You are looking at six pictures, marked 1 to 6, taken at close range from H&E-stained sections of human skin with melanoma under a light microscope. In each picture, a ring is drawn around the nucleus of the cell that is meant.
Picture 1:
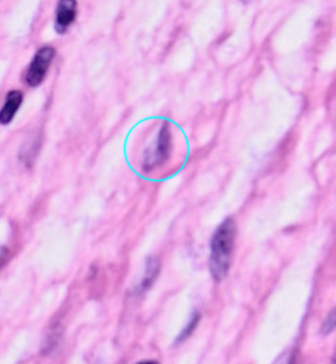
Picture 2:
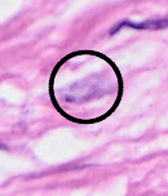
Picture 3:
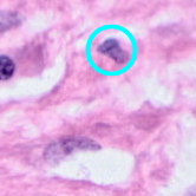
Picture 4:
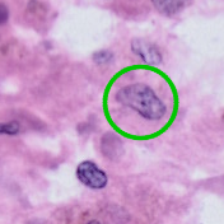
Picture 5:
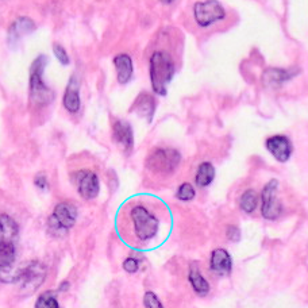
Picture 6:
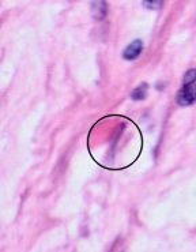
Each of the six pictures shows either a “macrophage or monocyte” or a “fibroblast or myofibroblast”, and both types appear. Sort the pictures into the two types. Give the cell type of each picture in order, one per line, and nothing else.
fibroblast or myofibroblast
fibroblast or myofibroblast
macrophage or monocyte
macrophage or monocyte
macrophage or monocyte
fibroblast or myofibroblast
